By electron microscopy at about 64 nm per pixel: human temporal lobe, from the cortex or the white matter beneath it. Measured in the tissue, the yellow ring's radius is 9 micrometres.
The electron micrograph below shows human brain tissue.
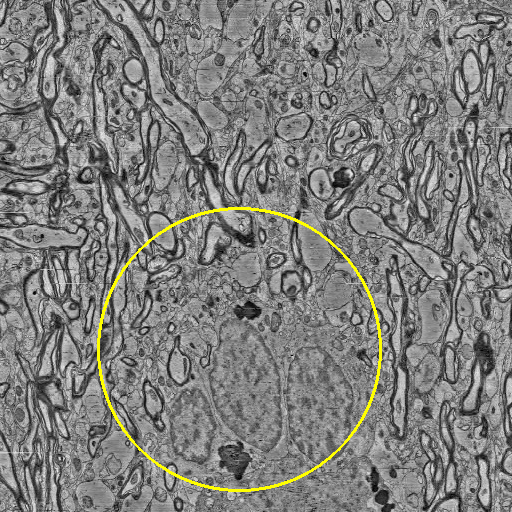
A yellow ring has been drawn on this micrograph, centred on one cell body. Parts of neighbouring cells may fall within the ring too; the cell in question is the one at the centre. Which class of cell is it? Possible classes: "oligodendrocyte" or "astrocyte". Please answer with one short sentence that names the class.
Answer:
In the centre of the ring sits an oligodendrocyte.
